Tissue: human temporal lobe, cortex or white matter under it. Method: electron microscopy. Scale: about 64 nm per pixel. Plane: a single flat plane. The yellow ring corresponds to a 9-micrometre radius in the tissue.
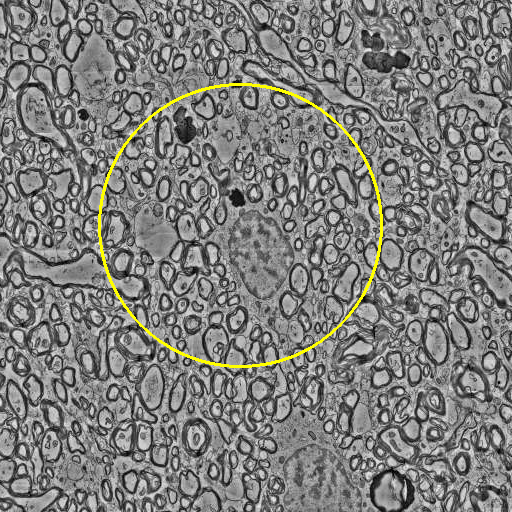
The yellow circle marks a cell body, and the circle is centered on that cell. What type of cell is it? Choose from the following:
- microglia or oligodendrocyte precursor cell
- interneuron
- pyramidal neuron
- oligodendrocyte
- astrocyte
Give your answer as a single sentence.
This cell body belongs to an oligodendrocyte.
